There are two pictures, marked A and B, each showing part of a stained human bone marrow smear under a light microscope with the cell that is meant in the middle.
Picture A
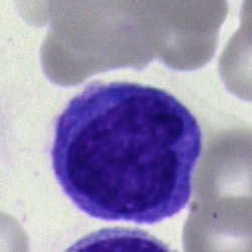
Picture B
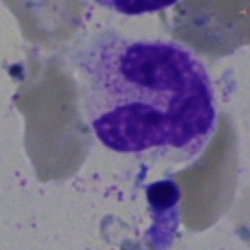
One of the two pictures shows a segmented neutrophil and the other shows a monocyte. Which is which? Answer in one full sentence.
Picture A shows a monocyte and picture B shows a segmented neutrophil.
